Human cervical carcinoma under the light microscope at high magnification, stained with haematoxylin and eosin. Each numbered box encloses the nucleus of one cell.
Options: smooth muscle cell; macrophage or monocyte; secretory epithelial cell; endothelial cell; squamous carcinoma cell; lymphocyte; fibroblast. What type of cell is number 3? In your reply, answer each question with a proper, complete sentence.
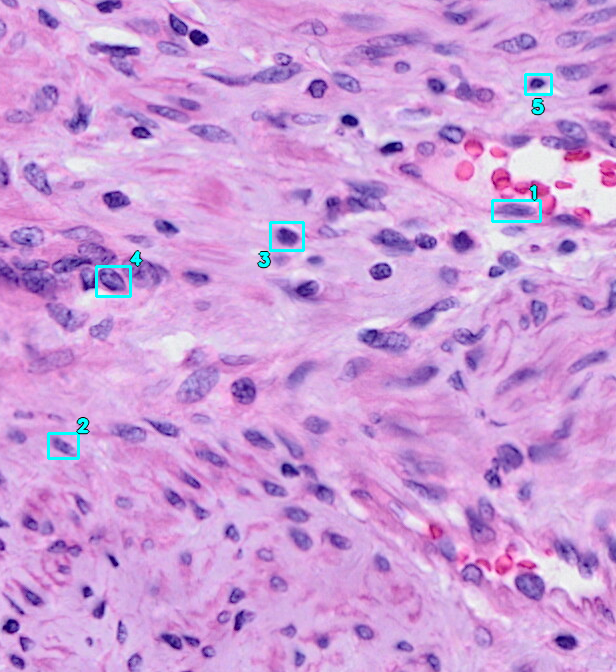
Identified as a lymphocyte is the cell bearing the number 3.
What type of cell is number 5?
The cell tagged with 5 in this tissue section is a lymphocyte.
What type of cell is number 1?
The cell pointed out as number 1 is an endothelial cell.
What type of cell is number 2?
Marked with the number 2, this cell is a smooth muscle cell.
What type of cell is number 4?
The cell numbered 4 has been identified as an endothelial cell.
